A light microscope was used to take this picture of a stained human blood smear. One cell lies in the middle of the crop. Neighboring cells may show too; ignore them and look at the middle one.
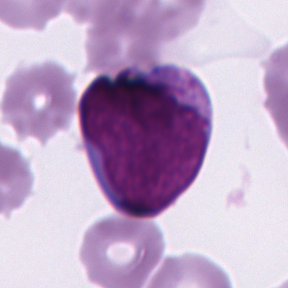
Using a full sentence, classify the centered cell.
In this crop, the cell at the very middle is a myeloblast.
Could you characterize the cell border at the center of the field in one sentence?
Its outline is smooth, with no projections anywhere along the edge.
